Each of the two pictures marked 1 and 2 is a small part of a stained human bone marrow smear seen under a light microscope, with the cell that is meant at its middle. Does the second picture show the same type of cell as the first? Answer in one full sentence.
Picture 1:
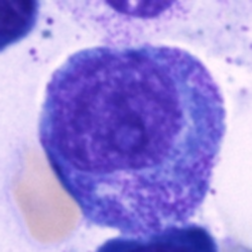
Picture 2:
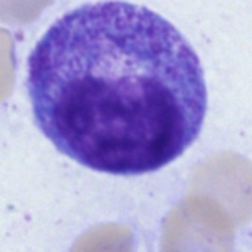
Yes, the two pictures both show promyelocytes.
